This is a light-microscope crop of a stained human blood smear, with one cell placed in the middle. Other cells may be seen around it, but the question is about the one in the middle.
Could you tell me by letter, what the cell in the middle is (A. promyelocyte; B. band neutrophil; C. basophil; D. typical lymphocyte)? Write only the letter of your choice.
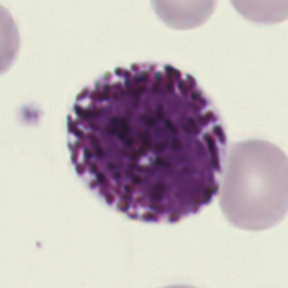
C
